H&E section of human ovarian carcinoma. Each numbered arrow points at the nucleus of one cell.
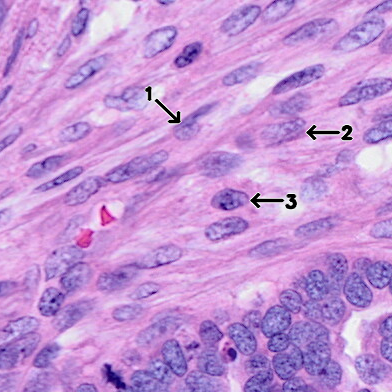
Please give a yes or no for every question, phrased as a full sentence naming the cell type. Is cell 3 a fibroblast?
No, as for cell 3, it is a macrophage or monocyte and not a fibroblast.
